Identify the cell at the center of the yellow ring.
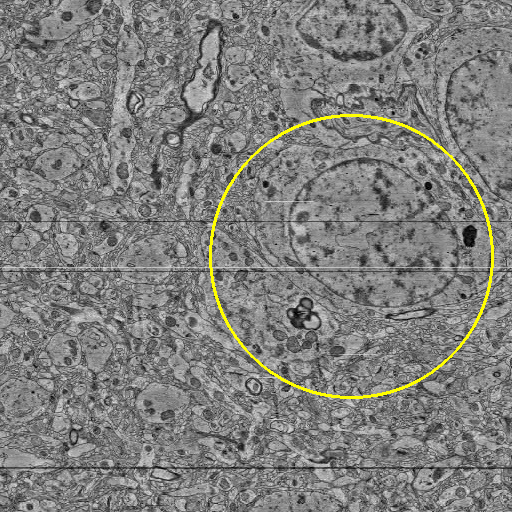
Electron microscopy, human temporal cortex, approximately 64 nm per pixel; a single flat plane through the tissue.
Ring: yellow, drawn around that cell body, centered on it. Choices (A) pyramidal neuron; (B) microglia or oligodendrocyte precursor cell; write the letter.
A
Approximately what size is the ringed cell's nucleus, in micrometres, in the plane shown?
The nucleus works out at approximately 11 by 9 micrometres in this plane.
